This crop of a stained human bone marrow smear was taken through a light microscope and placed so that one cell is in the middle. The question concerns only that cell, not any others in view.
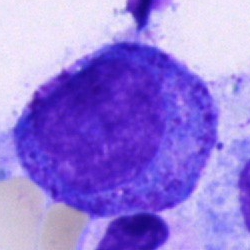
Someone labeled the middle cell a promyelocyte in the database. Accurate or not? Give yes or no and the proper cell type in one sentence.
Yes, the central cell is to be recorded as a promyelocyte.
